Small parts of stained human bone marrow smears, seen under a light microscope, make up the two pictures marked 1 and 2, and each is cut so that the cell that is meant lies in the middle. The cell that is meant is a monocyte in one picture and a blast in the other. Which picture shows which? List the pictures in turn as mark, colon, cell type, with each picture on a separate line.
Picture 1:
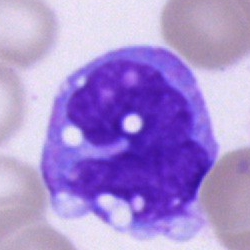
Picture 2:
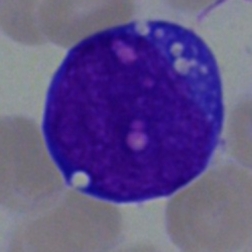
1: monocyte
2: blast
